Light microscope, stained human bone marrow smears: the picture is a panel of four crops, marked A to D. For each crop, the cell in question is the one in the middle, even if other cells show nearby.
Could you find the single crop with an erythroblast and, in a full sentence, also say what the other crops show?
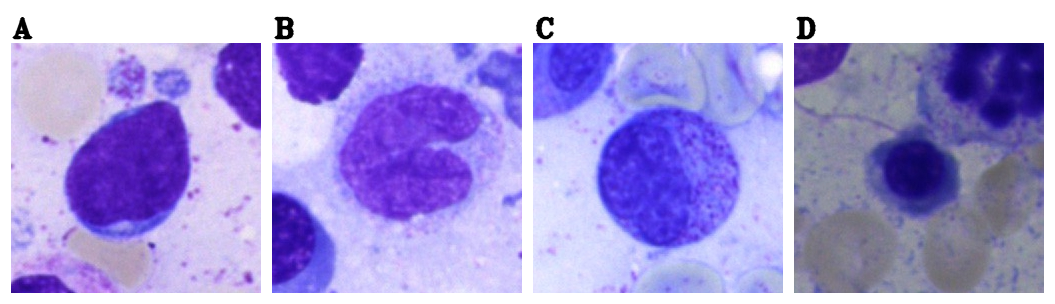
Crop D shows an erythroblast, while crop A is a blast, crop B is a monocyte and crop C is a metamyelocyte.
